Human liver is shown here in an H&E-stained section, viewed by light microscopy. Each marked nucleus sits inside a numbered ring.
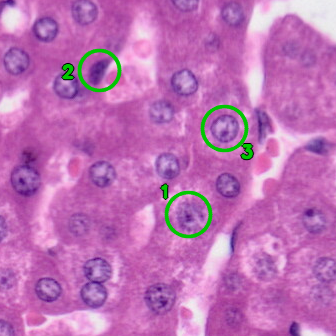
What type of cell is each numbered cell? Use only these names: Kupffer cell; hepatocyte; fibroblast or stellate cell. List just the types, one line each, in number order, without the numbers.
hepatocyte
fibroblast or stellate cell
hepatocyte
